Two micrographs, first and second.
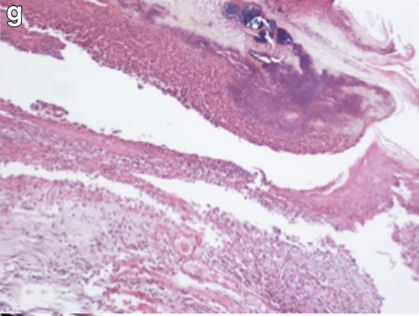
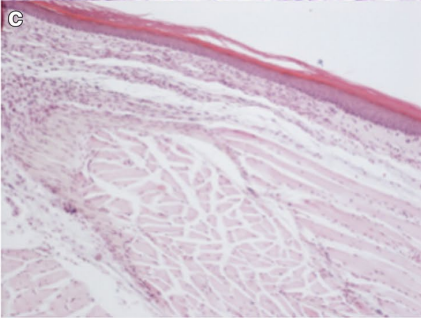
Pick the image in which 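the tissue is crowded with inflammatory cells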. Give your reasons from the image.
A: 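The first image. First image: a dense mass with dark purple nuclear debris and cell-rich layers separated by clefts. Second image: pale, orderly connective tissue with sparse nuclei under an intact epidermis.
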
